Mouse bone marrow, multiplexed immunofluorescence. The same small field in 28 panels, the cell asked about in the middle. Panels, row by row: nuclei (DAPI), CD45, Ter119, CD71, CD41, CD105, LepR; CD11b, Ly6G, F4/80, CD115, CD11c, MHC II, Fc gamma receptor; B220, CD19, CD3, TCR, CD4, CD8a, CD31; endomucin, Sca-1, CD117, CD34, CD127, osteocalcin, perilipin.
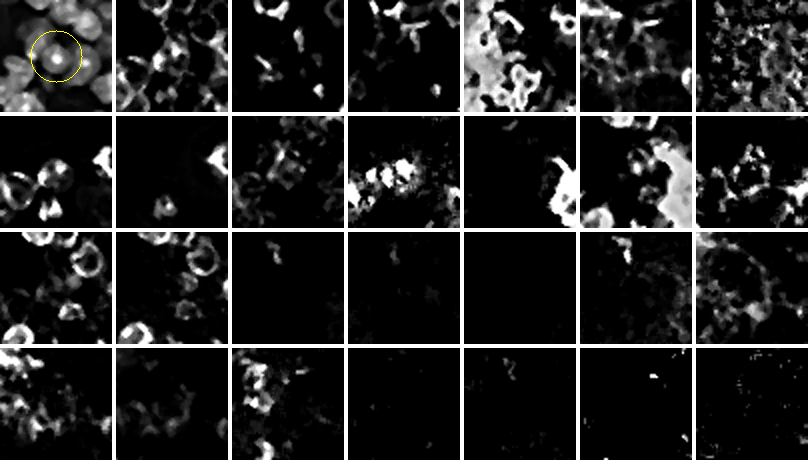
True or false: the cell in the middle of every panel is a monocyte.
True.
